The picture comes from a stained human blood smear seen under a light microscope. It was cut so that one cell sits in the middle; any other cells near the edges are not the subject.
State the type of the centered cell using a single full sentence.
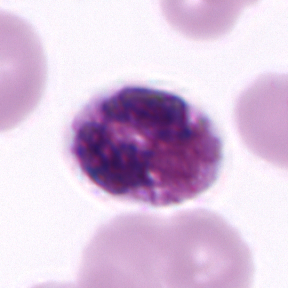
The cell under consideration, at the middle of the crop, is an eosinophil.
